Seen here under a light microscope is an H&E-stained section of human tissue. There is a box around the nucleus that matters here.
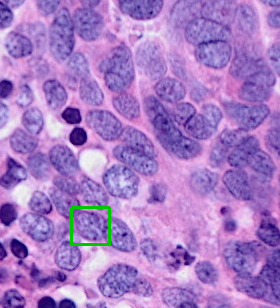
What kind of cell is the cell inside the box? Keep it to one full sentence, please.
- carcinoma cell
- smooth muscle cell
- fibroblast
What the cell inside the box represents is a carcinoma cell.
